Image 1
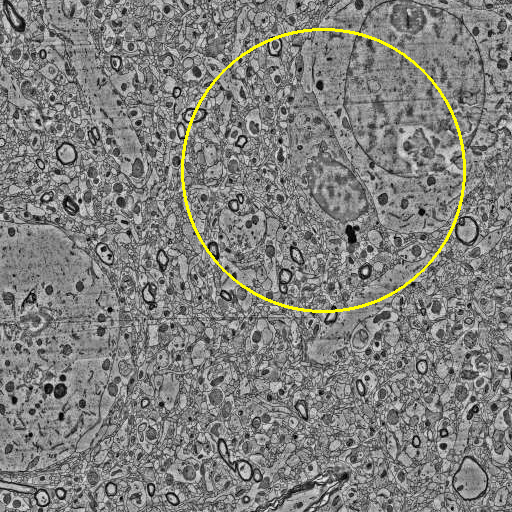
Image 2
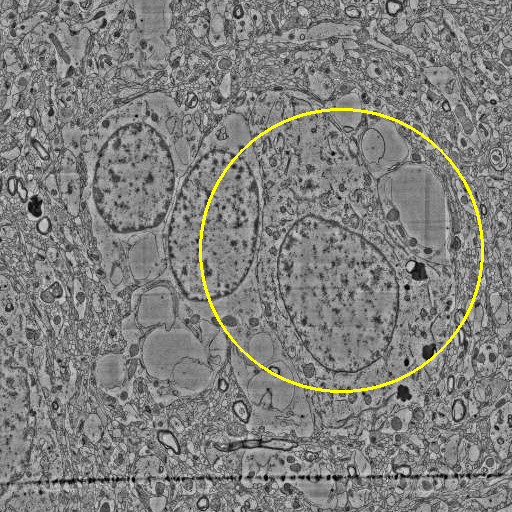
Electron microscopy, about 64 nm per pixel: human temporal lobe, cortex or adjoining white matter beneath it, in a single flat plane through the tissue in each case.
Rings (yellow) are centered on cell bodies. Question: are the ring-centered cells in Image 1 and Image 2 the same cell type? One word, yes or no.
no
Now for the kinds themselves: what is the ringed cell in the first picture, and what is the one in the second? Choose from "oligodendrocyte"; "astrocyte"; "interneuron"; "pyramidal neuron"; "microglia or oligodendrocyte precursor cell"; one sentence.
Here the first cell is an oligodendrocyte and the second cell is a pyramidal neuron.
